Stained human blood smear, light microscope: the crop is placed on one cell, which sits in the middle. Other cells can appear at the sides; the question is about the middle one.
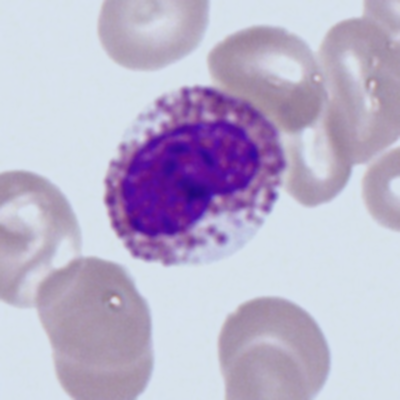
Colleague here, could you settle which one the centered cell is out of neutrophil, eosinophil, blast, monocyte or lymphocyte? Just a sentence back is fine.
Present in the middle of the crop is an eosinophil.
